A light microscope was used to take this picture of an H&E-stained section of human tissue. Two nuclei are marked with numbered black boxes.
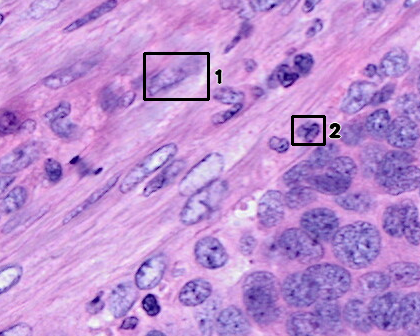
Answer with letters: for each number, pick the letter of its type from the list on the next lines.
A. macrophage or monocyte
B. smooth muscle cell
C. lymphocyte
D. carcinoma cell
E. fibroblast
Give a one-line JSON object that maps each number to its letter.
{"1": "E", "2": "C"}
